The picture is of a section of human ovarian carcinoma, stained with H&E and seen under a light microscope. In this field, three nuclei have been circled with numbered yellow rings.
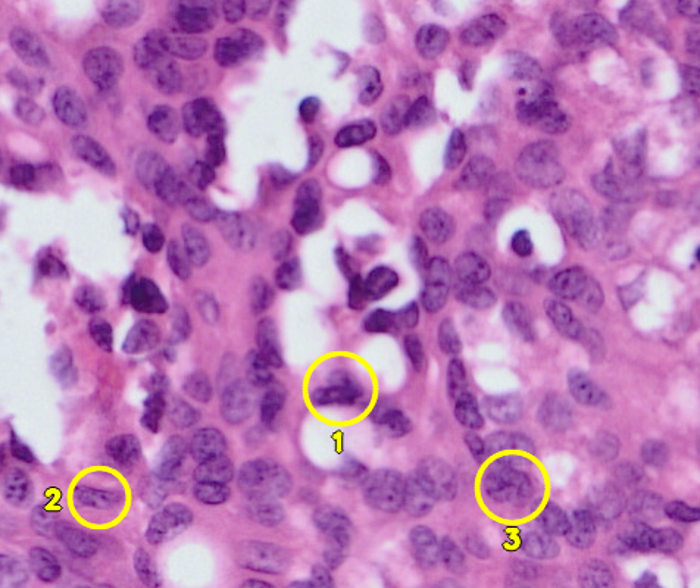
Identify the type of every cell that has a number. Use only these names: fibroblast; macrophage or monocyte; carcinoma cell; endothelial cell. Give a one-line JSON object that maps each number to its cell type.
{"1": "carcinoma cell", "2": "endothelial cell", "3": "carcinoma cell"}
